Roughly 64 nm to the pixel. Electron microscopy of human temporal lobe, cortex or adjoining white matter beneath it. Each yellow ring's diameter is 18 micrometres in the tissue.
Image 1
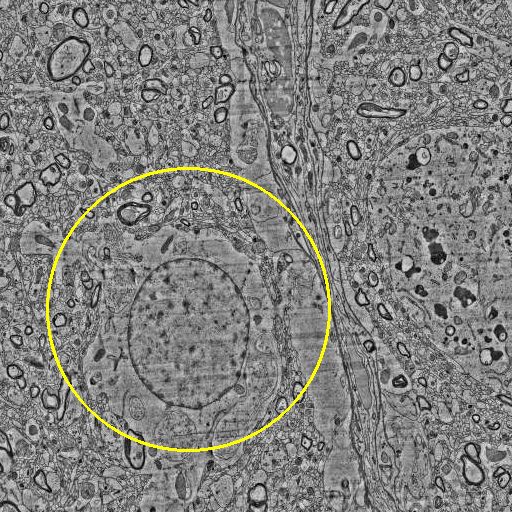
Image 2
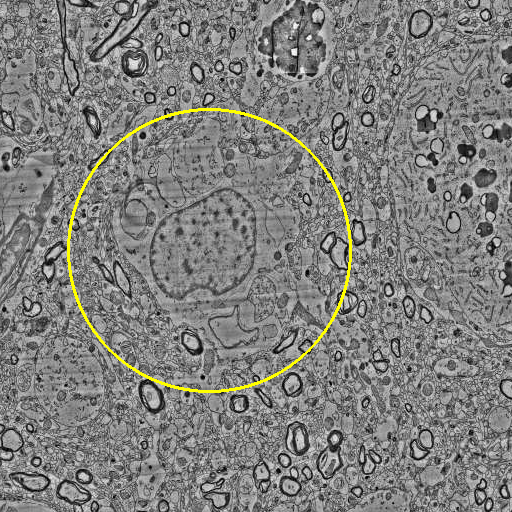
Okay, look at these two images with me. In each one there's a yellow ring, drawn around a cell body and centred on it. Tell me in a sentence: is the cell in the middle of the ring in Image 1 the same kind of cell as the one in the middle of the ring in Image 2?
Yes, they're the same kind of cell.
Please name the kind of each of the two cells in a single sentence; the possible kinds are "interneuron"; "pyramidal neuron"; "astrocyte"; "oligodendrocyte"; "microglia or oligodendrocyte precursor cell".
Each cell, in the first picture and the second, is an astrocyte.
